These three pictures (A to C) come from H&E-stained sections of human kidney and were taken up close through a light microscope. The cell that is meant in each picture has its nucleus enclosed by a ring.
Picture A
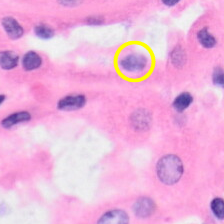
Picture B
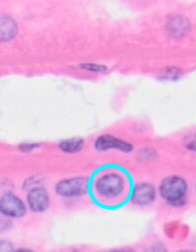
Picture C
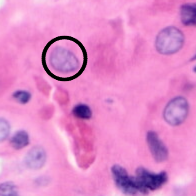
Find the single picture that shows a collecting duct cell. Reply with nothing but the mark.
B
